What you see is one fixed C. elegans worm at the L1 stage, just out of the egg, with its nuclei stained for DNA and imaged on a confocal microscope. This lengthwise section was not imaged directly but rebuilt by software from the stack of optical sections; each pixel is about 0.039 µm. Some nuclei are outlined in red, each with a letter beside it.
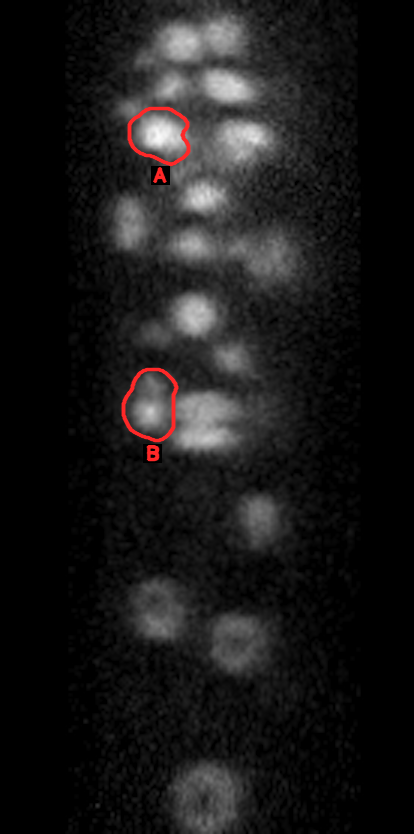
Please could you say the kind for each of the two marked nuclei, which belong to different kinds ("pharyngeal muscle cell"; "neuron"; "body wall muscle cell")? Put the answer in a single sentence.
A is from a neuron, and B is from a body wall muscle cell.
